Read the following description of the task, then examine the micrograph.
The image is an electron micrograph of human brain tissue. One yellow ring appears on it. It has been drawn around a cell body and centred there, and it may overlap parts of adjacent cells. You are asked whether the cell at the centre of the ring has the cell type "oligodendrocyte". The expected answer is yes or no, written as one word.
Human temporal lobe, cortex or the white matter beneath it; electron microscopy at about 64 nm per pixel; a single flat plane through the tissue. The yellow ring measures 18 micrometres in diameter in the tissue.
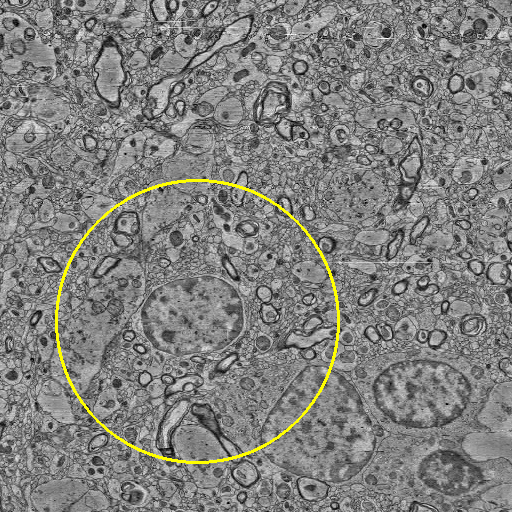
no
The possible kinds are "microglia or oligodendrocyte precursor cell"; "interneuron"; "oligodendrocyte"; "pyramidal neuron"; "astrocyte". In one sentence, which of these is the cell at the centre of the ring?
The cell this ring marks is a microglial cell or oligodendrocyte precursor cell.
